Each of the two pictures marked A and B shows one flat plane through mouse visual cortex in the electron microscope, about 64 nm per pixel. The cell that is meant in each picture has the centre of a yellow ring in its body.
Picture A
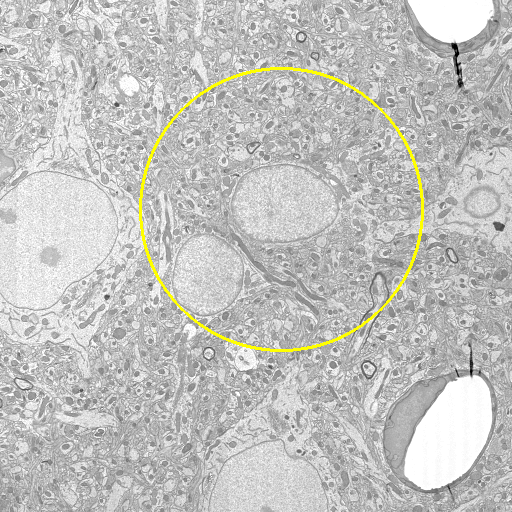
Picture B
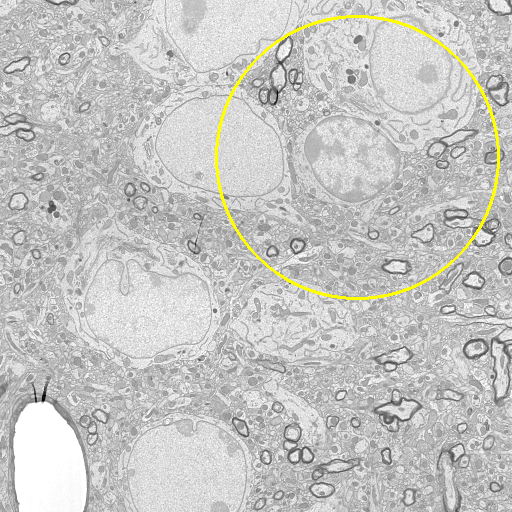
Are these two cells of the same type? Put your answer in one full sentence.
No, the types are not the same, since picture A shows an astrocyte and picture B an oligodendrocyte.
